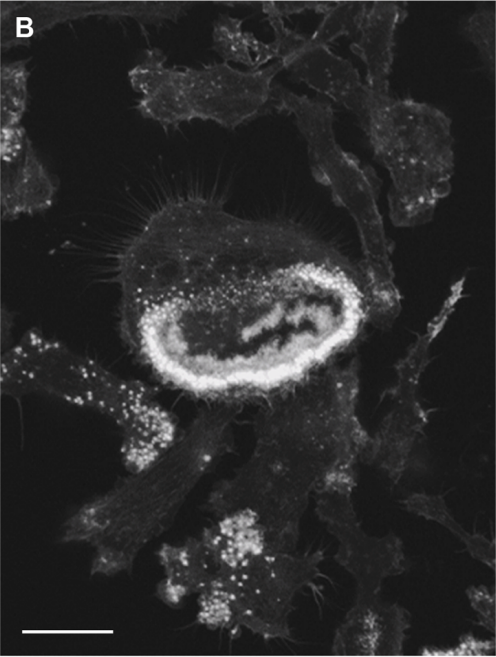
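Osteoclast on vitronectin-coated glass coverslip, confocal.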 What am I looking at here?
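Along one side lies a bright crescent built of many small, densely packed dots, the podosomes. Long thin spikes radiate from the cell's edge on the side away from the crescent.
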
